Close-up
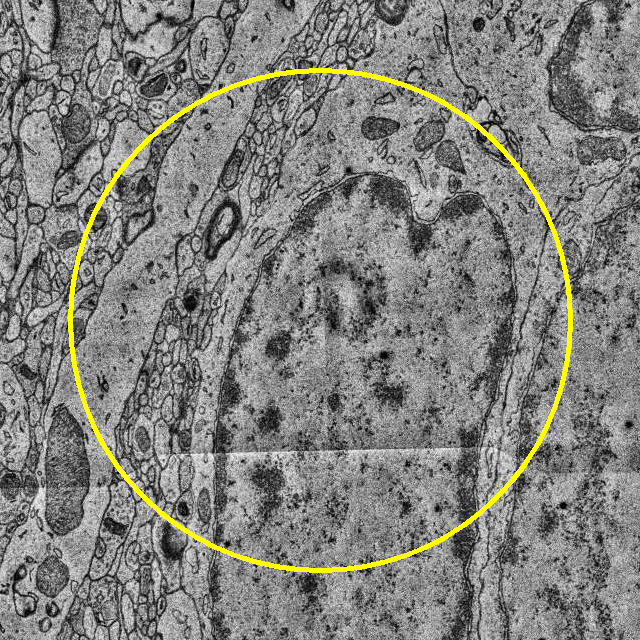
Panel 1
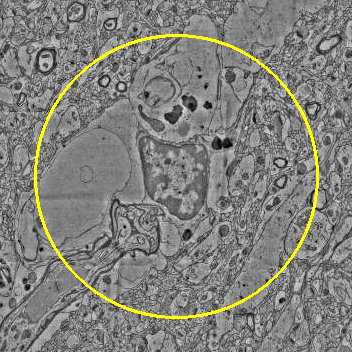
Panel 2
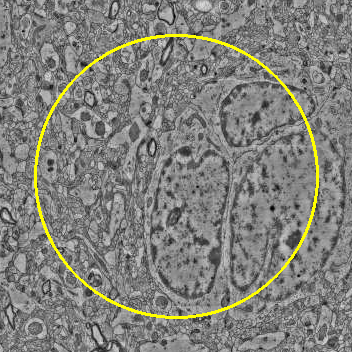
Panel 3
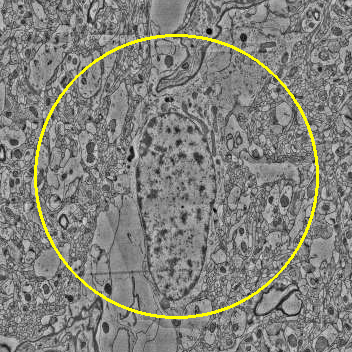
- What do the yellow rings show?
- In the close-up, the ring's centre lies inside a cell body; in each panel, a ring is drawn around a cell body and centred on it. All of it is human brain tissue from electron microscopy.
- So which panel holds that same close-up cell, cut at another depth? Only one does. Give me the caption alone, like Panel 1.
Panel 2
